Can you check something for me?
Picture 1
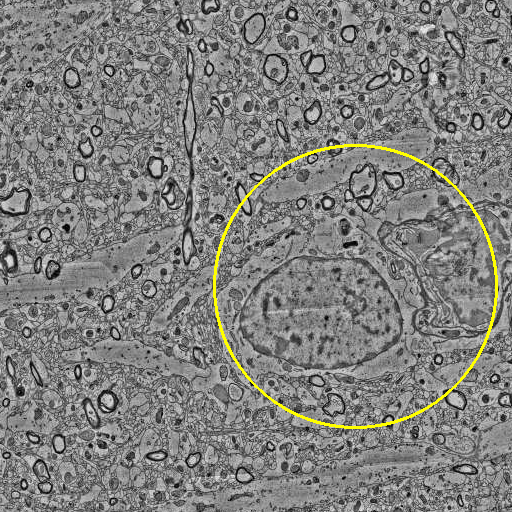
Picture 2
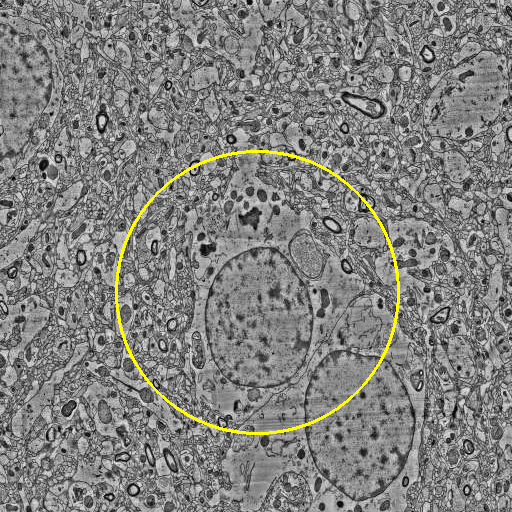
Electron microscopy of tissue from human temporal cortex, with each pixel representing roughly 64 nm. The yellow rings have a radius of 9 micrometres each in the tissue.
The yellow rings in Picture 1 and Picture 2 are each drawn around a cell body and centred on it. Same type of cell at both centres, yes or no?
no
